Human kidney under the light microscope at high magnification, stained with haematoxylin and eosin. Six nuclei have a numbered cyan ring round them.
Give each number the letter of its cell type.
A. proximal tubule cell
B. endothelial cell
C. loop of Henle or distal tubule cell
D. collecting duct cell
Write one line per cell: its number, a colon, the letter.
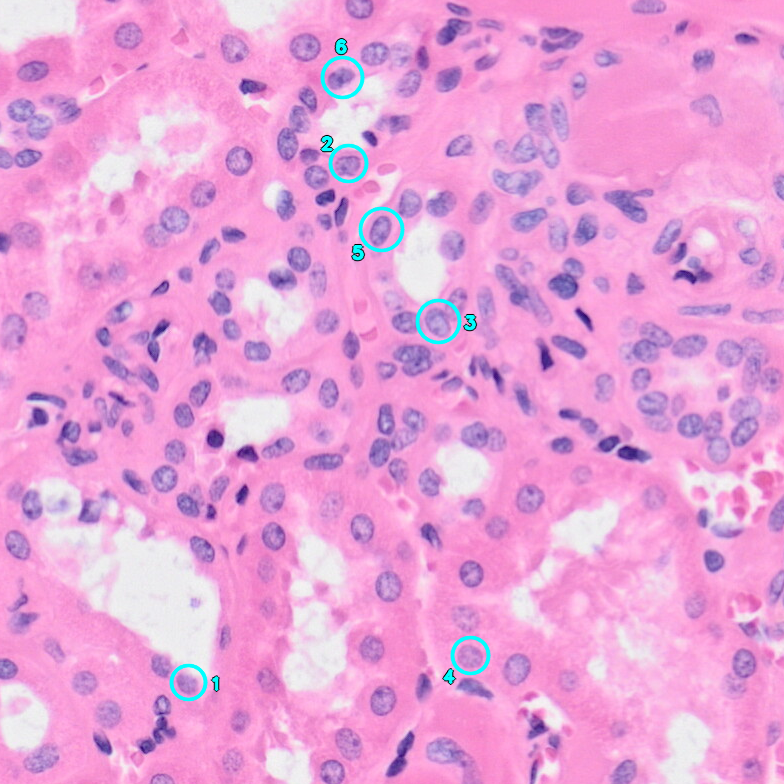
1: C
2: D
3: D
4: A
5: D
6: D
